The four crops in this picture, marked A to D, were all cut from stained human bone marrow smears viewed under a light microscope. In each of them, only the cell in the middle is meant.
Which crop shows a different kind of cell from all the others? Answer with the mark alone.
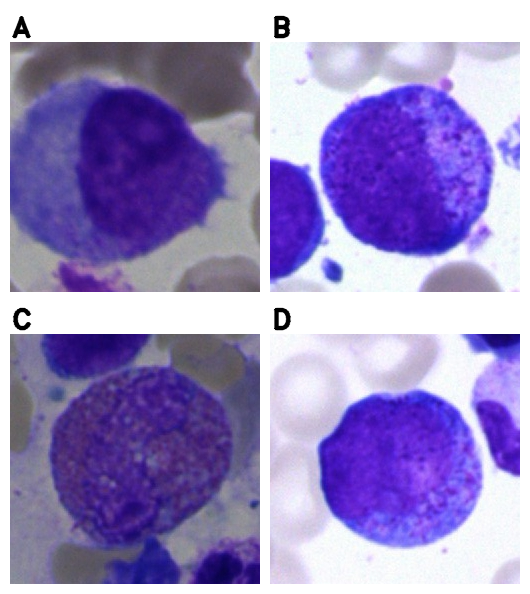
C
